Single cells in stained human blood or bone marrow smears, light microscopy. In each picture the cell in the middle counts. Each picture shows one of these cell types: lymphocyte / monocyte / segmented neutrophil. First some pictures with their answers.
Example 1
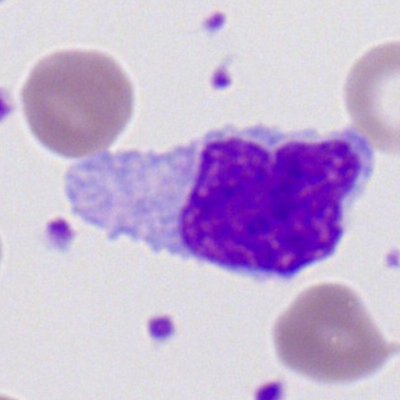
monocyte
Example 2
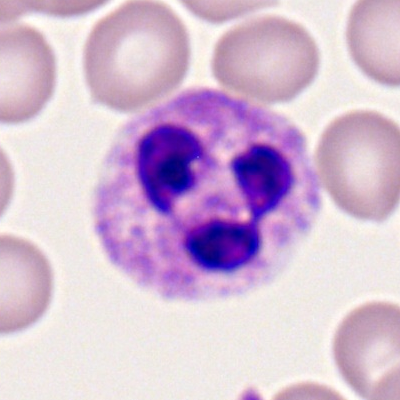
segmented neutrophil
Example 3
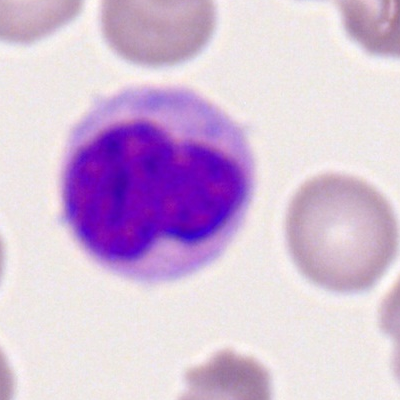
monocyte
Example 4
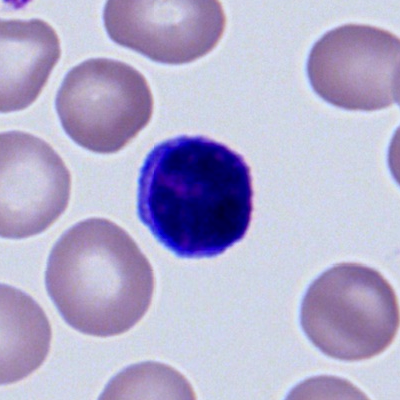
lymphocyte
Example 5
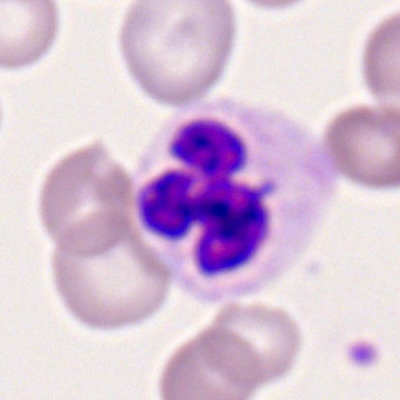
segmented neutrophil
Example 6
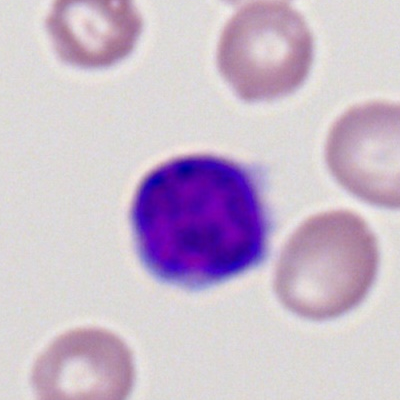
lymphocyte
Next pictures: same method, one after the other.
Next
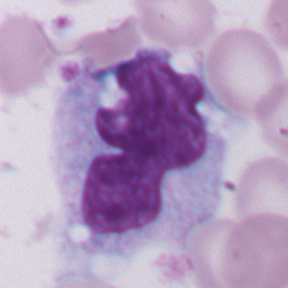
monocyte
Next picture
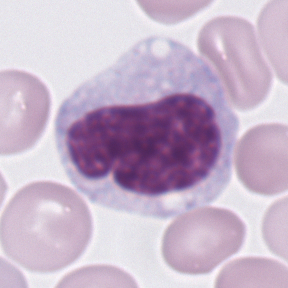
monocyte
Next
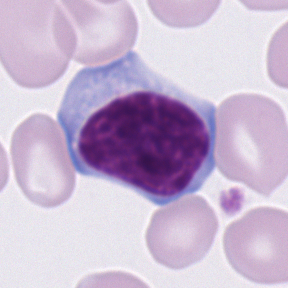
lymphocyte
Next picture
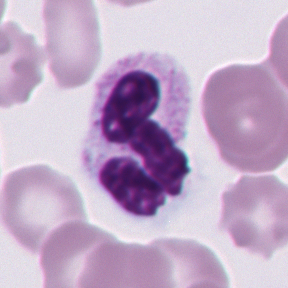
segmented neutrophil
